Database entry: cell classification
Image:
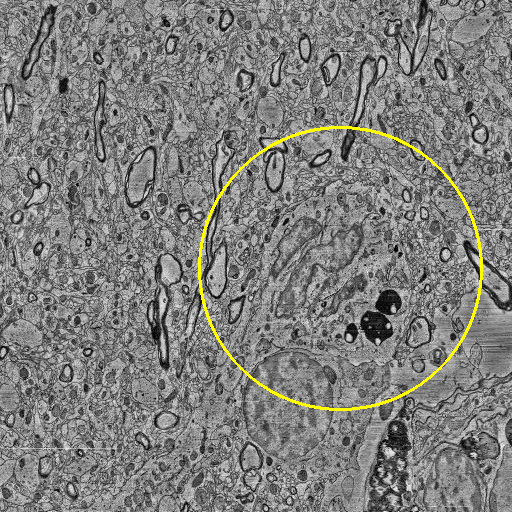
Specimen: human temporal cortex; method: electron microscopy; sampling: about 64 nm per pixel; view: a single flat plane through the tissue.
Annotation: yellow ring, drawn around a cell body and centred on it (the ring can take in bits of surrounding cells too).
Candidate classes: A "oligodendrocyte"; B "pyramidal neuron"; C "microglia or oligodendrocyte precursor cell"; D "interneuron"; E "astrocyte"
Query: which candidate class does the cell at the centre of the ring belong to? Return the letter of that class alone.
D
